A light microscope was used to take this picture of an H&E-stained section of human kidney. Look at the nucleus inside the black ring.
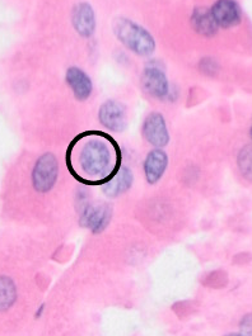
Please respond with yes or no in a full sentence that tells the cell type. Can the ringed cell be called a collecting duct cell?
Yes, that the ringed cell is a collecting duct cell is correct.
